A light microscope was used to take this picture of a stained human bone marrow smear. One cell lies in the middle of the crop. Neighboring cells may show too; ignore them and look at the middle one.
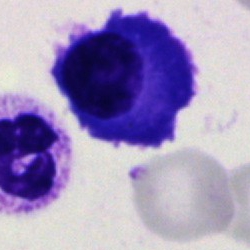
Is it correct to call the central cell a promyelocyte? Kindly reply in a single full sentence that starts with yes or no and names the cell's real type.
No, the cell at the centre is identified as a plasma cell, not as a promyelocyte.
